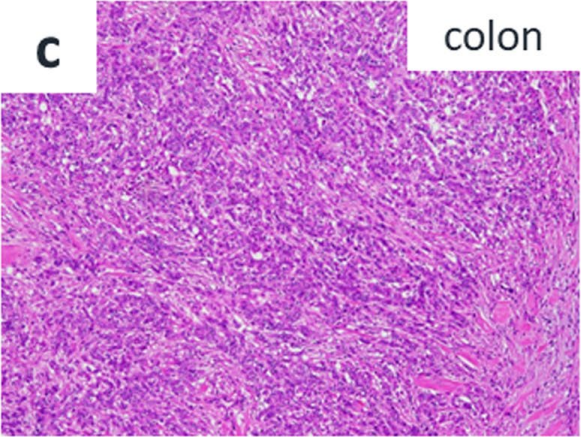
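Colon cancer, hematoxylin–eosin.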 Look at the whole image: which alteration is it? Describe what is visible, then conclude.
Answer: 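Poorly differentiated adenocarcinoma. Sheets and cords of crowded atypical epithelial cells fill the field. Well-formed glands are scarcely seen. The tumor cells lie in a fibrous stroma.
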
